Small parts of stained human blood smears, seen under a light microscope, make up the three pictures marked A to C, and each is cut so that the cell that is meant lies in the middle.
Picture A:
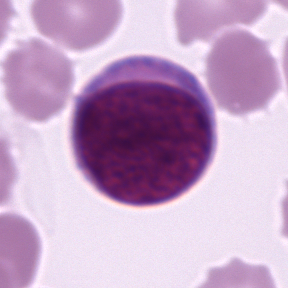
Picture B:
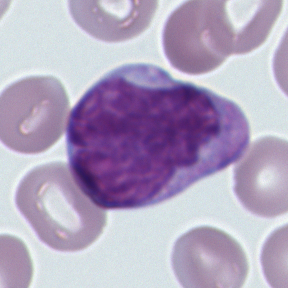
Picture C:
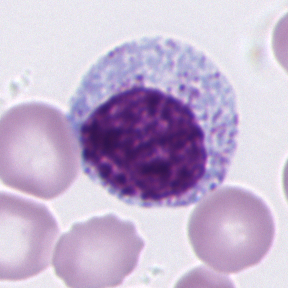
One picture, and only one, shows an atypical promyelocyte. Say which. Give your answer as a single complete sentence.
Picture B shows the atypical promyelocyte.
